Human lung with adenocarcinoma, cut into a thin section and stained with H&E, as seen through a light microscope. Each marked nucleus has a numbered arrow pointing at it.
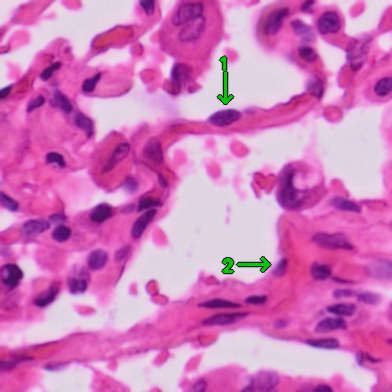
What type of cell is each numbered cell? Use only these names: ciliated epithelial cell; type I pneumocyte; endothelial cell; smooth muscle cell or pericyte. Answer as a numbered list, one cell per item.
1. type I pneumocyte
2. endothelial cell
